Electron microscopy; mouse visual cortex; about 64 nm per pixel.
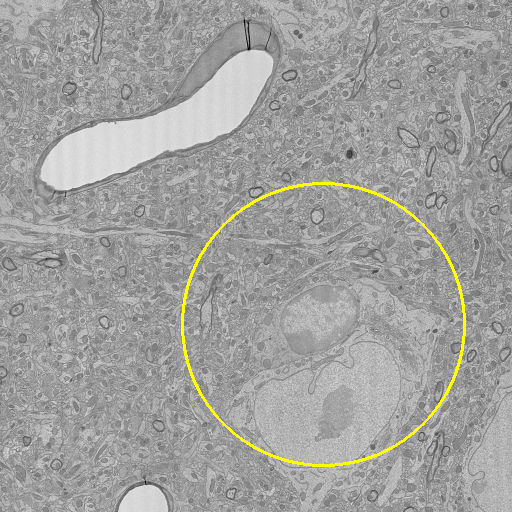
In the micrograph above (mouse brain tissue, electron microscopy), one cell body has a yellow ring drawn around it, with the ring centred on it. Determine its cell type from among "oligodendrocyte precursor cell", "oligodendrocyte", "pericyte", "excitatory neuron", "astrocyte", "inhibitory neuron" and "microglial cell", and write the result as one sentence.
The cell whose body is ringed is an oligodendrocyte.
